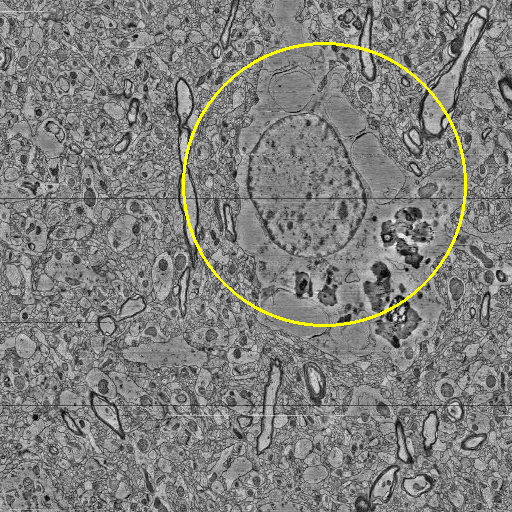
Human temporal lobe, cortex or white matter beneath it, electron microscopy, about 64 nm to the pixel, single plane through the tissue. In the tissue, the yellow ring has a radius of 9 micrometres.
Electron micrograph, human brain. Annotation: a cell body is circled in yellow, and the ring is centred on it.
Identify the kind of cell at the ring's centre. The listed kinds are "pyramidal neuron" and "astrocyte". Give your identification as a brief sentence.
The circled cell body is that of an astrocyte.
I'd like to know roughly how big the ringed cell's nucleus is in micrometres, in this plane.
Roughly 10 micrometres by 7 micrometres, in this plane.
